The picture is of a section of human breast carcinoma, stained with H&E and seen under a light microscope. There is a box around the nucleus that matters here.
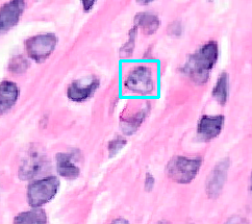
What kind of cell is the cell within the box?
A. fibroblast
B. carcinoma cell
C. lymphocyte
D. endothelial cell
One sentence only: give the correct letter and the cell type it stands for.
Option D names the cell within the box correctly as an endothelial cell.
